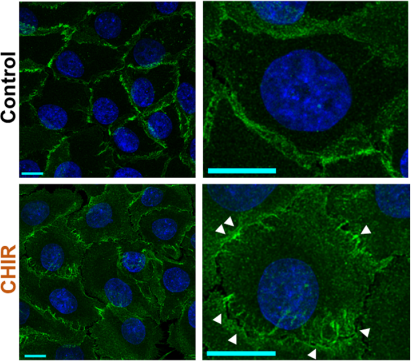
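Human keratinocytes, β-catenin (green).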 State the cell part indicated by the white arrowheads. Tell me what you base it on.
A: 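The white arrowheads point to bright green lines and streaks at the borders of a cell. The green outlines surround cells with blue nuclei.
Membrane.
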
